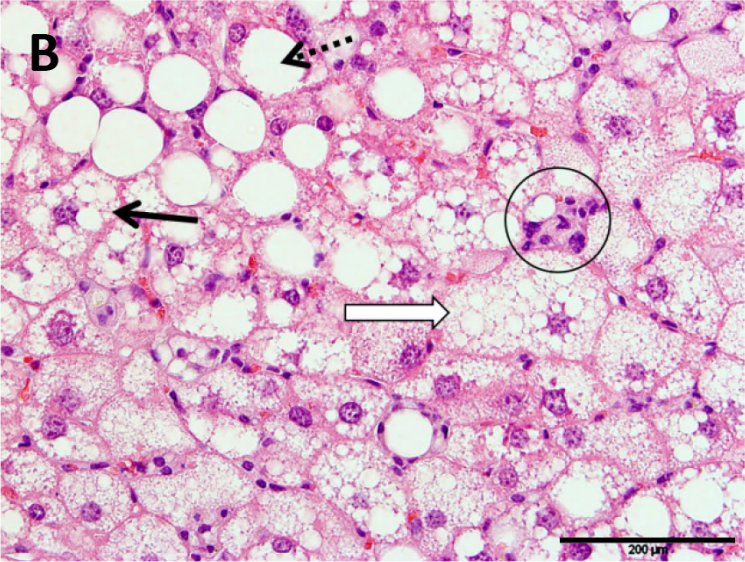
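Liver with hepatocytes showing fatty change: in one area the cells contain large, round, clear lipid droplets, while elsewhere enlarged hepatocytes are packed with countless small clear droplets that give the cytoplasm a foamy look. Hepatocyte nuclei are round and purple, and some cells are much larger than their neighbours. A small group of cells with dark, irregular nuclei sits between the hepatocytes.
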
